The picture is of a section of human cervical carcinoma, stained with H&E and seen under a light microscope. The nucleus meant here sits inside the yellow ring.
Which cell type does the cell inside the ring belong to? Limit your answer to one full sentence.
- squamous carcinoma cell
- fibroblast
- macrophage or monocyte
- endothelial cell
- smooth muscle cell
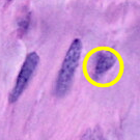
The expected answer is simply that the cell inside the ring is a fibroblast.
